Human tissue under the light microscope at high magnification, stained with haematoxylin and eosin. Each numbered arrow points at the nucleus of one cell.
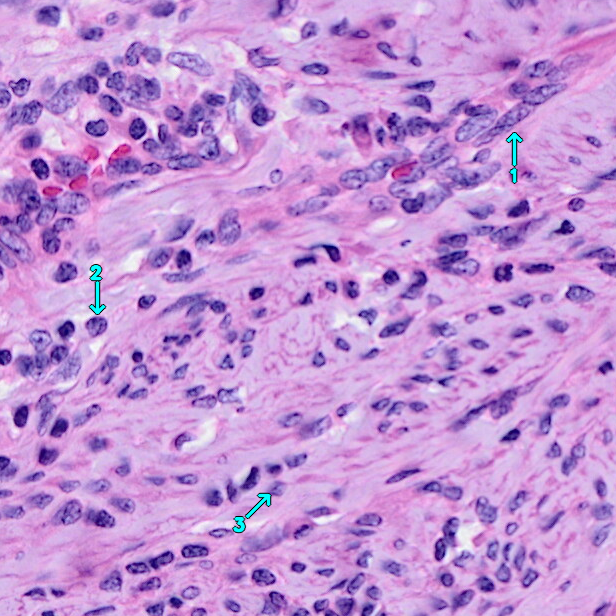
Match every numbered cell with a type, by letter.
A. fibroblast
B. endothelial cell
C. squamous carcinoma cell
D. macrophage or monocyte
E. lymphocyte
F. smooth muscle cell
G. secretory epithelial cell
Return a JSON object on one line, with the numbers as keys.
{"1": "B", "2": "E", "3": "A"}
